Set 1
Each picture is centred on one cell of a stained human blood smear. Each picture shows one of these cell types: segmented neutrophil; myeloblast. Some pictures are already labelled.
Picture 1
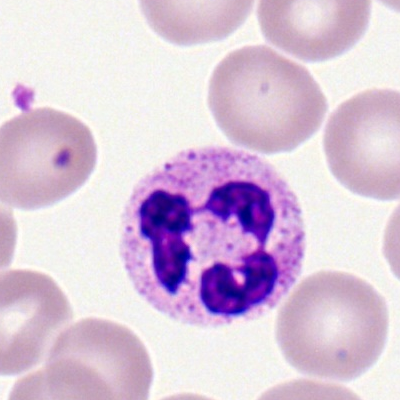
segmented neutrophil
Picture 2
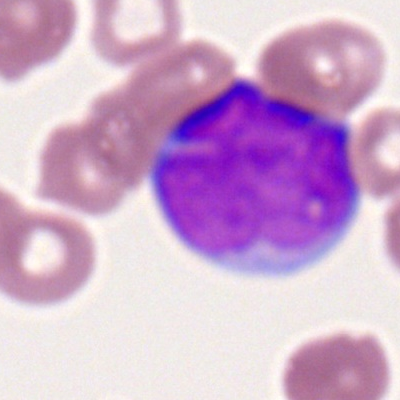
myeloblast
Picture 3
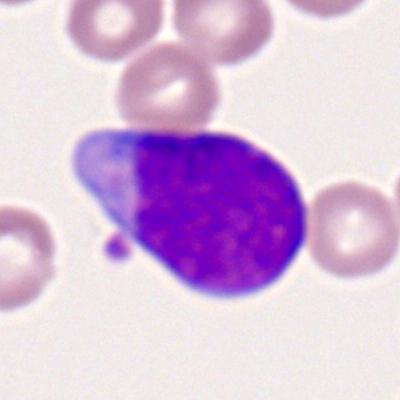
myeloblast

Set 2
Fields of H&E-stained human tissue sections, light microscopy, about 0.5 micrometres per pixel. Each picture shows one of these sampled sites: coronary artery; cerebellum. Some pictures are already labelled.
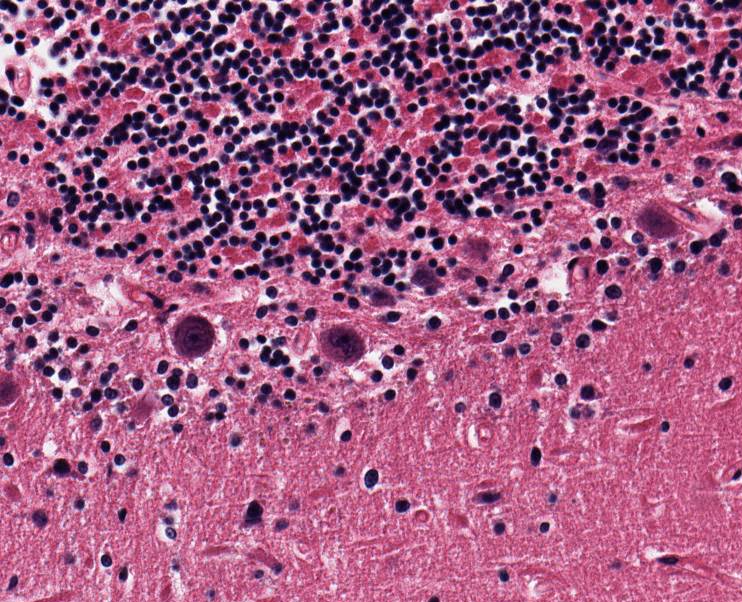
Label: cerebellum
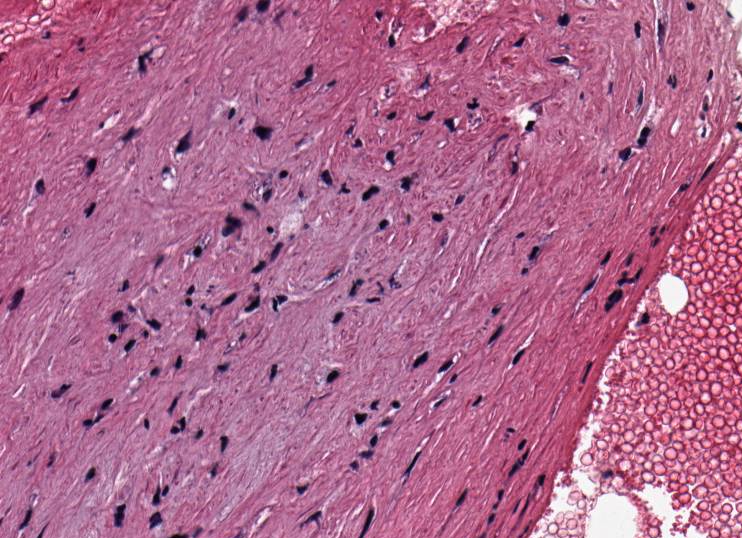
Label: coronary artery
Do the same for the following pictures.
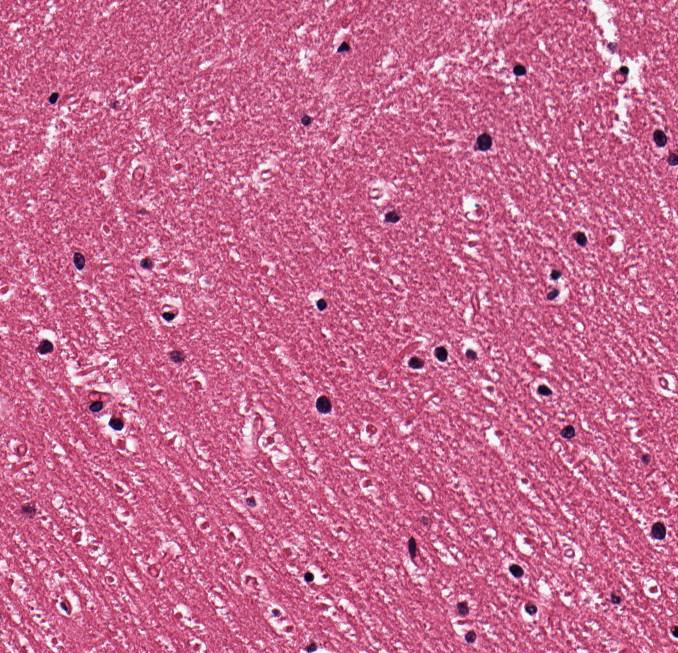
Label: cerebellum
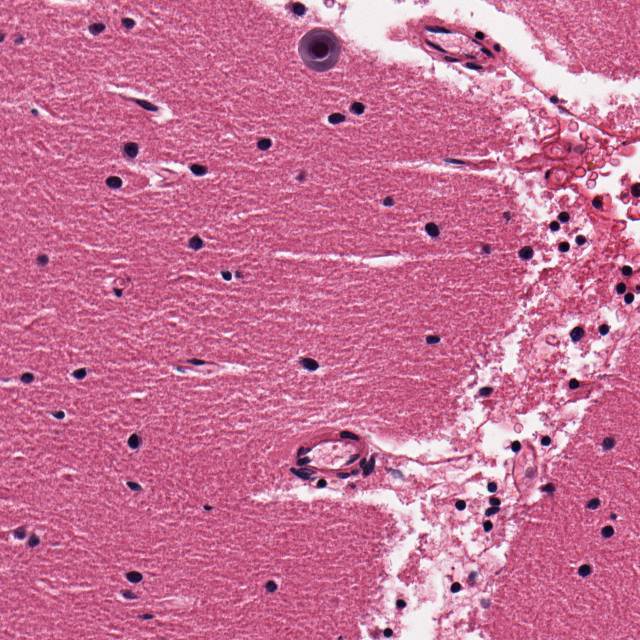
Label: cerebellum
